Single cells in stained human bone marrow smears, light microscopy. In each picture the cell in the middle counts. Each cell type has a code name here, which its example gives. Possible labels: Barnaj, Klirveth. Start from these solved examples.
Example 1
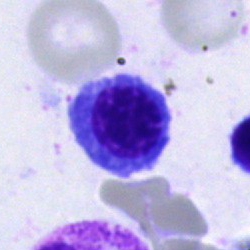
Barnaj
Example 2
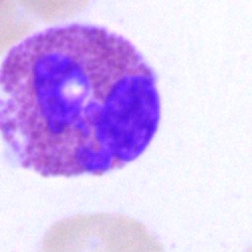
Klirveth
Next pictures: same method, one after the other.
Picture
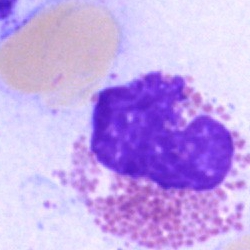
Klirveth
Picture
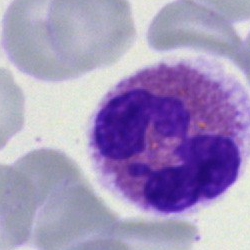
Klirveth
